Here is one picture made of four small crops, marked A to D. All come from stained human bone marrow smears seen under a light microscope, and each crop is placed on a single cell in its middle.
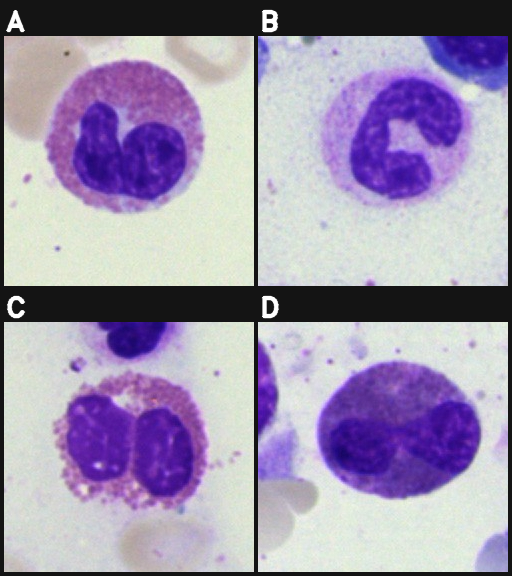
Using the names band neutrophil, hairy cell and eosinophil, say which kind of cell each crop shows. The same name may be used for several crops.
A: eosinophil
B: band neutrophil
C: eosinophil
D: eosinophil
